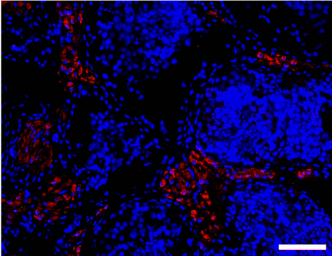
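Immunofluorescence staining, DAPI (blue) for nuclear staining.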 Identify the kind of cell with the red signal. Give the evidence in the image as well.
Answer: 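Leydig cells. Red cells lie in small groups in the interstitium between densely nucleated tubules. The red cells have blue nuclei within red cytoplasm.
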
